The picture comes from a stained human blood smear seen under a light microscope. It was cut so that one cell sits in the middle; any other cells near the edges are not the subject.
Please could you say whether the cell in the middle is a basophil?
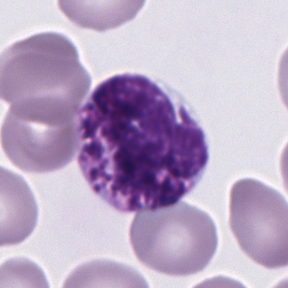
yes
